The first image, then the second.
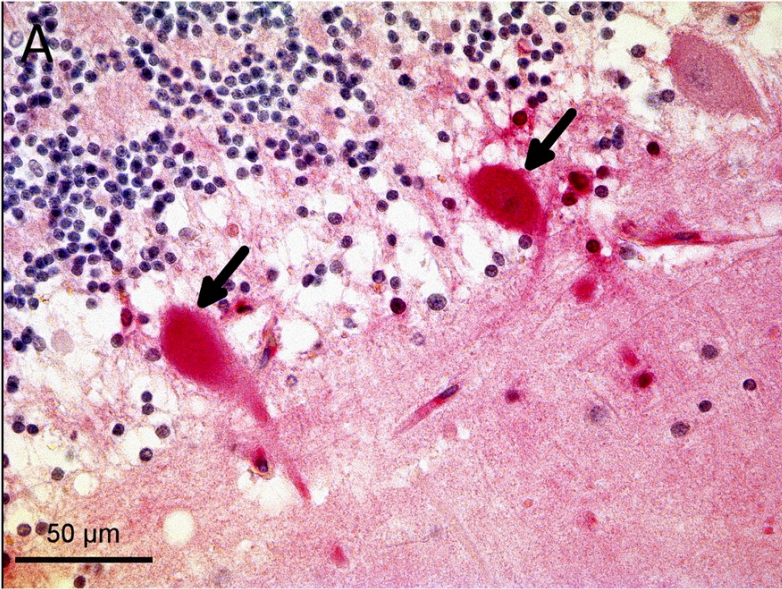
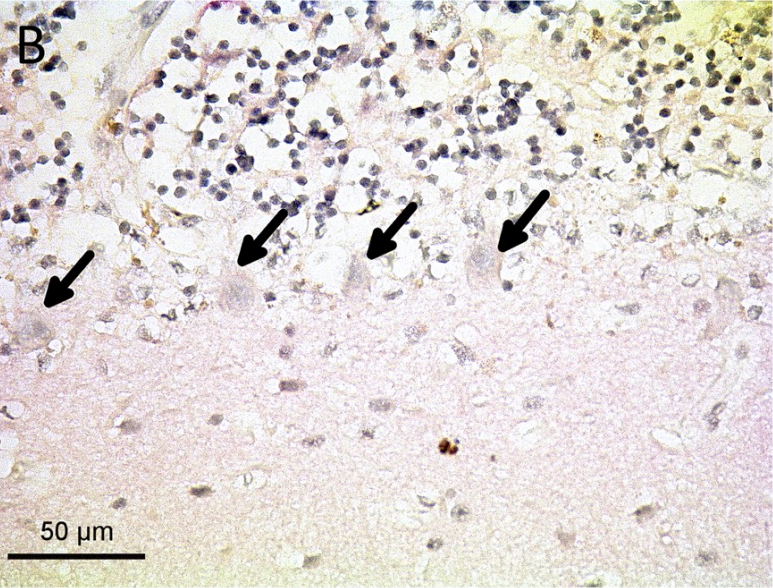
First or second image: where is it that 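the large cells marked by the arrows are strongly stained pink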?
The first image.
